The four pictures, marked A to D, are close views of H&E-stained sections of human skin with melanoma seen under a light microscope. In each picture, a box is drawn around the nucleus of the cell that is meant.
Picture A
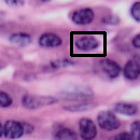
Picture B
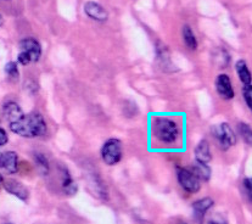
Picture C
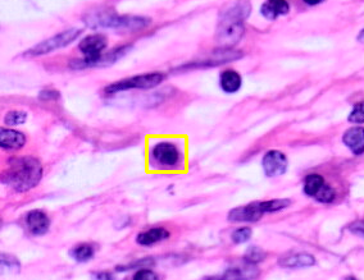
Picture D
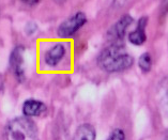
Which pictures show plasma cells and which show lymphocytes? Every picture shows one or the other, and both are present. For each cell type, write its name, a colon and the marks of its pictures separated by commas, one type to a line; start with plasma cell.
plasma cell: A, B, C
lymphocyte: D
